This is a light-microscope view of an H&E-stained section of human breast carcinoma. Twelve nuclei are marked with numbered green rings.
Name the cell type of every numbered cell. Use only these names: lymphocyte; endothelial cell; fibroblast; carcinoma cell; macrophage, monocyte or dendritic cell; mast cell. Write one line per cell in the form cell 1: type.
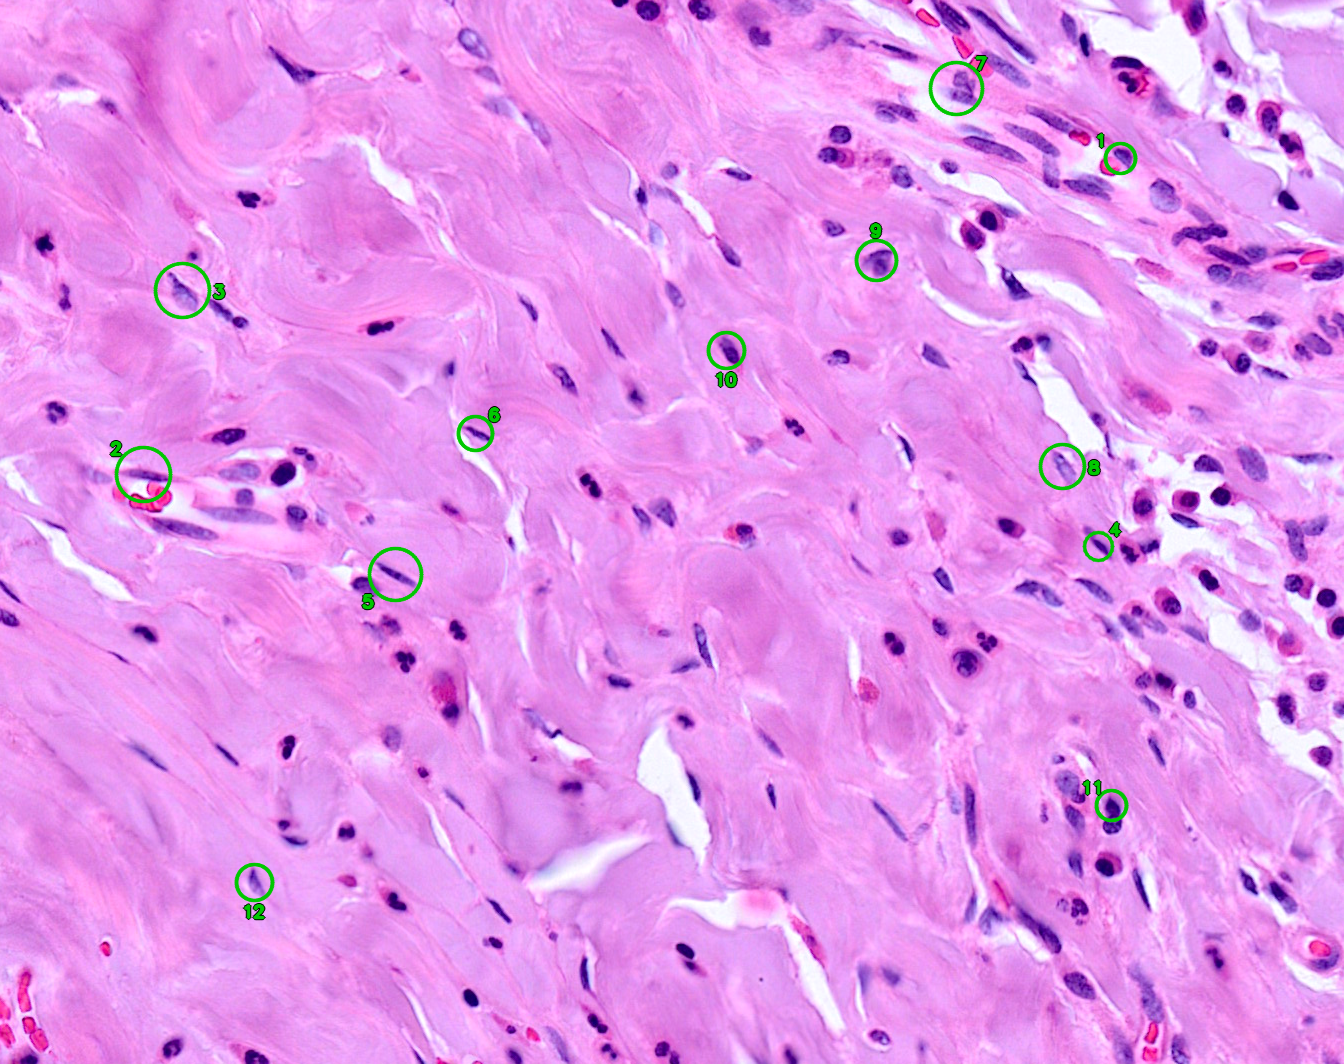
cell 1: endothelial cell
cell 2: endothelial cell
cell 3: fibroblast
cell 4: fibroblast
cell 5: fibroblast
cell 6: fibroblast
cell 7: endothelial cell
cell 8: fibroblast
cell 9: fibroblast
cell 10: mast cell
cell 11: lymphocyte
cell 12: fibroblast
